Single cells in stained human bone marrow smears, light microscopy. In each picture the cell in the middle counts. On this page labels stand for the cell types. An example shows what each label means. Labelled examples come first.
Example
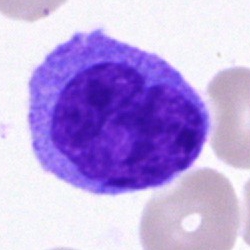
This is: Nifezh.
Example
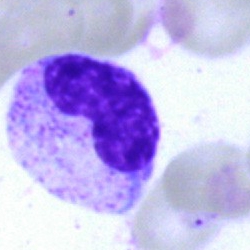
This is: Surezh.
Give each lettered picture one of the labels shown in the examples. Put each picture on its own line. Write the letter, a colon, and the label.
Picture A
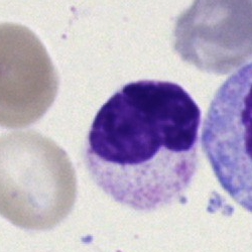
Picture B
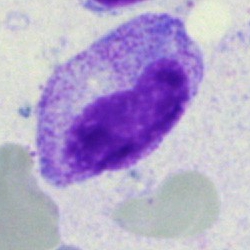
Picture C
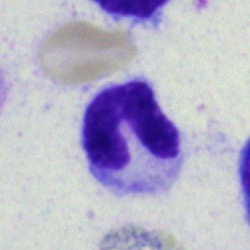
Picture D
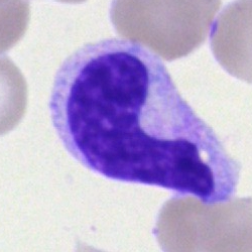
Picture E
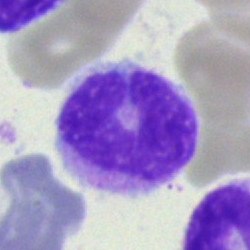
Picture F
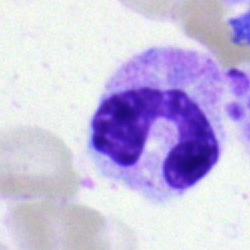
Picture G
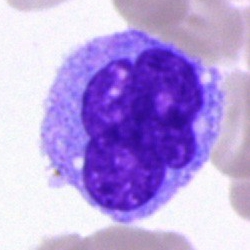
A: Surezh.
B: Surezh.
C: Surezh.
D: Surezh.
E: Nifezh.
F: Surezh.
G: Nifezh.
